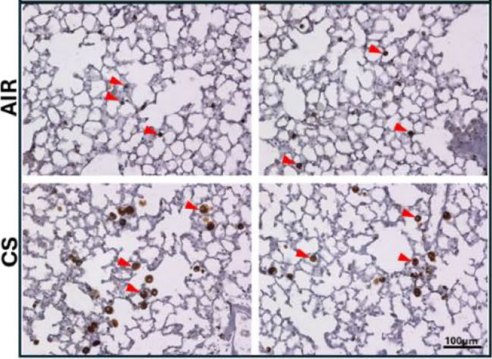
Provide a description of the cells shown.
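Lung parenchyma shows thin alveolar septa with small blue nuclei enclosing open polygonal air spaces, with occasional larger airway or vessel lumens. Scattered rounded alveolar macrophages lie free in the air spaces or against the septa and are stained dark brown. In the lower pair these brown cells are more numerous, larger and often clustered, with some showing a granular brown cytoplasm.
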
